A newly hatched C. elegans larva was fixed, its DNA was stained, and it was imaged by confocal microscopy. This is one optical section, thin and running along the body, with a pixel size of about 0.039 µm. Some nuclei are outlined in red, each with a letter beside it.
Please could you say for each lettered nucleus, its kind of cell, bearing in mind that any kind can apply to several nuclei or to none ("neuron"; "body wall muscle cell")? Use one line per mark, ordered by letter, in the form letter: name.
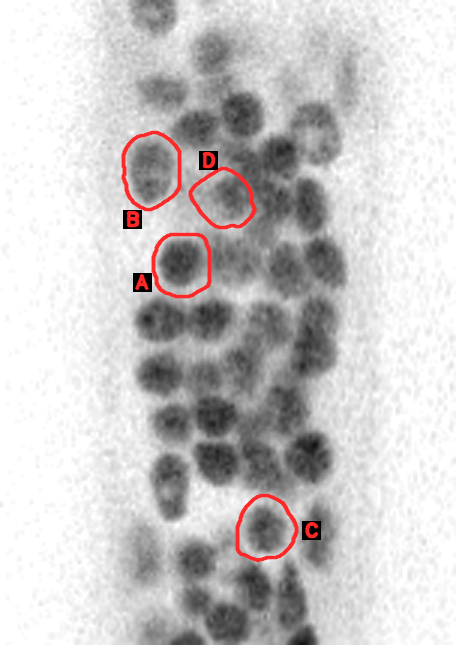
A: neuron
B: body wall muscle cell
C: neuron
D: neuron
